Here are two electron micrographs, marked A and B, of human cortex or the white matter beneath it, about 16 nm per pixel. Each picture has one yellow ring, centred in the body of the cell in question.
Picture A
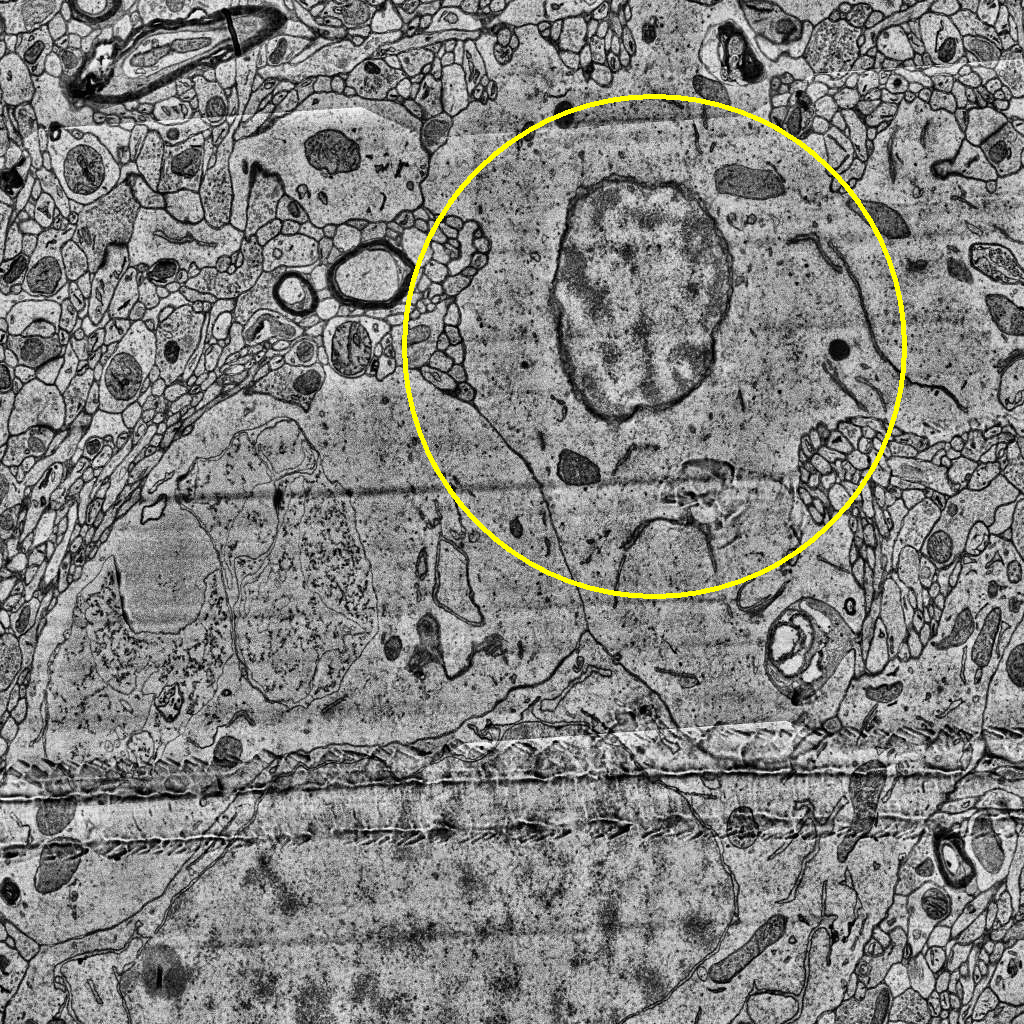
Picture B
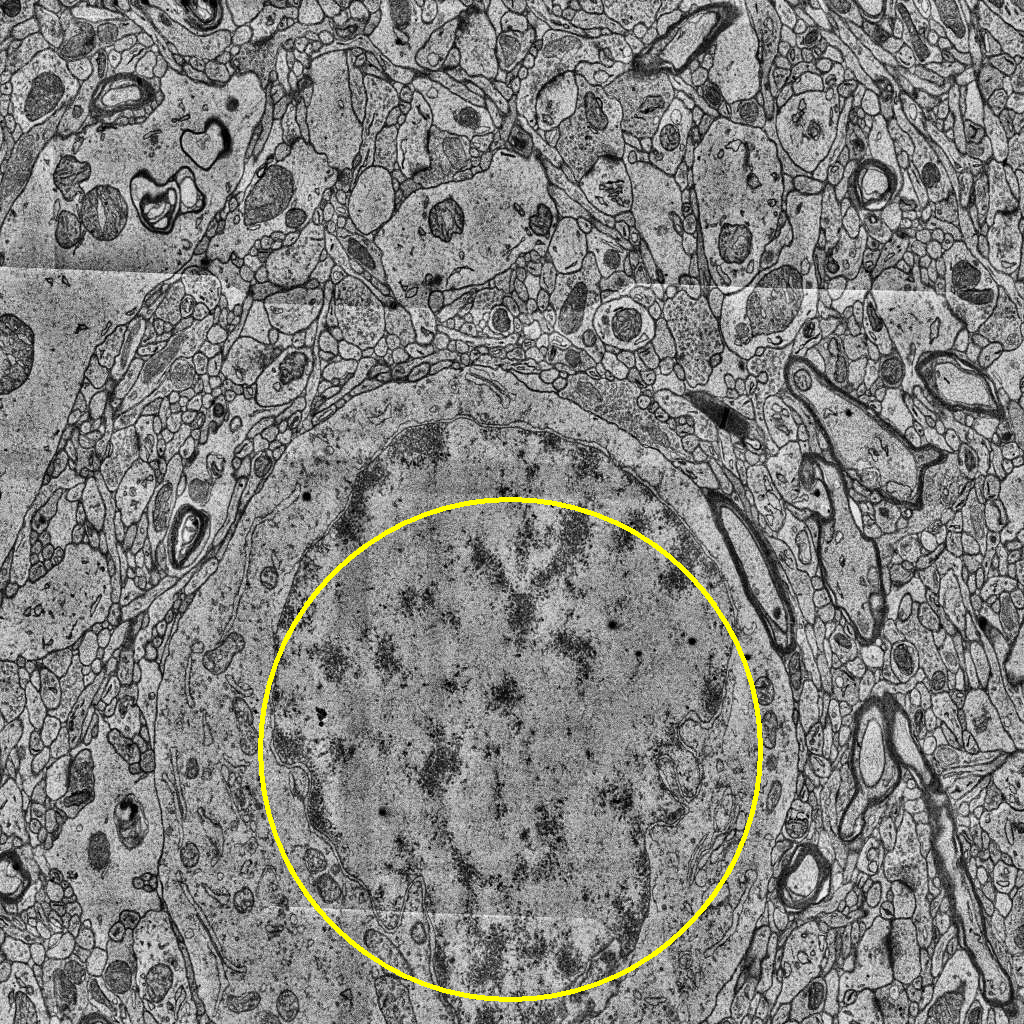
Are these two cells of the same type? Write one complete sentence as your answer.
No, picture A shows an astrocyte and picture B shows an interneuron.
